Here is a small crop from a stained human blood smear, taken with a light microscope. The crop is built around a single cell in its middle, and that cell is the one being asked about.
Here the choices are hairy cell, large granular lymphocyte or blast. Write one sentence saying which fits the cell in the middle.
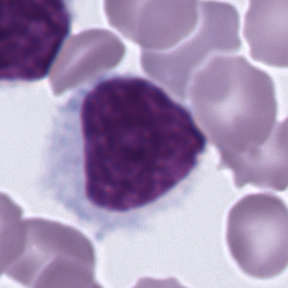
Occupying the centre of the crop is a hairy cell.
